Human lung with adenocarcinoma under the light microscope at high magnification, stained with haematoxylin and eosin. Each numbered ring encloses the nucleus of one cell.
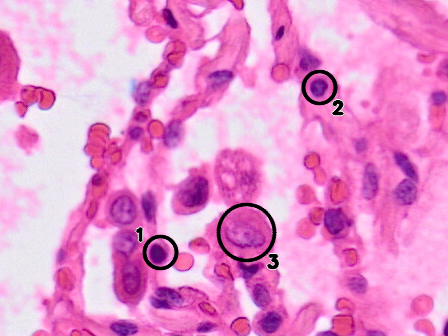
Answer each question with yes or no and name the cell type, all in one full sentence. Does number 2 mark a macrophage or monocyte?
No, cell 2 is to be classed as a mast cell, not a macrophage or monocyte.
